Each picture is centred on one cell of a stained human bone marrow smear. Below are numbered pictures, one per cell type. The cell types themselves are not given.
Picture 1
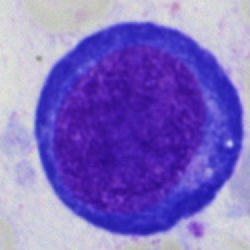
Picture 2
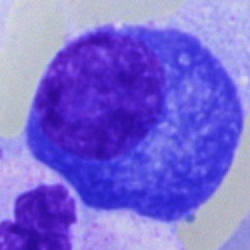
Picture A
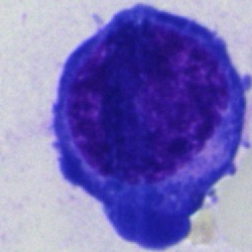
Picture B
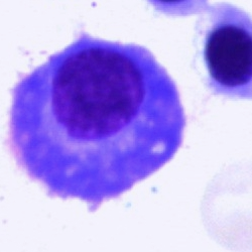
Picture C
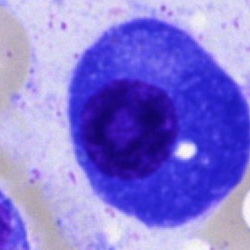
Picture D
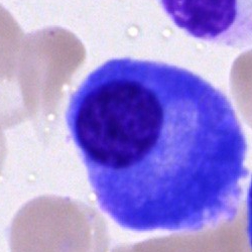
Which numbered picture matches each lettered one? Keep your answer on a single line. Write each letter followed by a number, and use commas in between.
A 1, B 2, C 2, D 2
